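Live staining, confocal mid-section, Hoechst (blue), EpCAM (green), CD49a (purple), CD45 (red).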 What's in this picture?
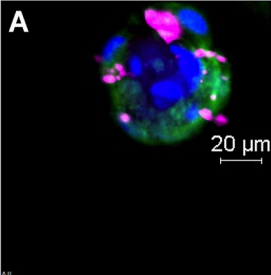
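Several oval blue nuclei of differing size lie scattered through the cluster. Green signal forms a ring around its periphery, and bright magenta patches and dots sit mostly along its upper and outer edge.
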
